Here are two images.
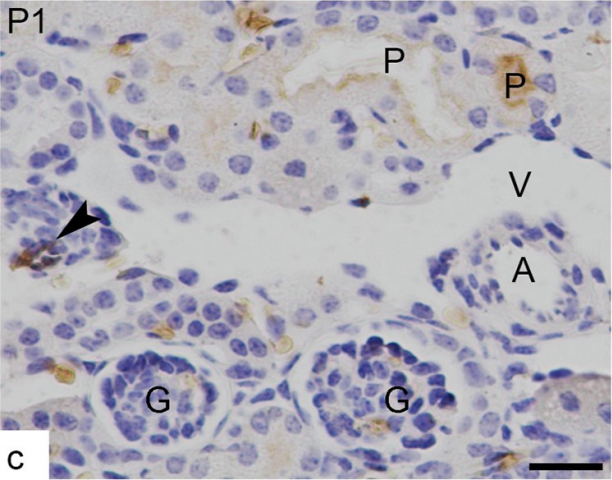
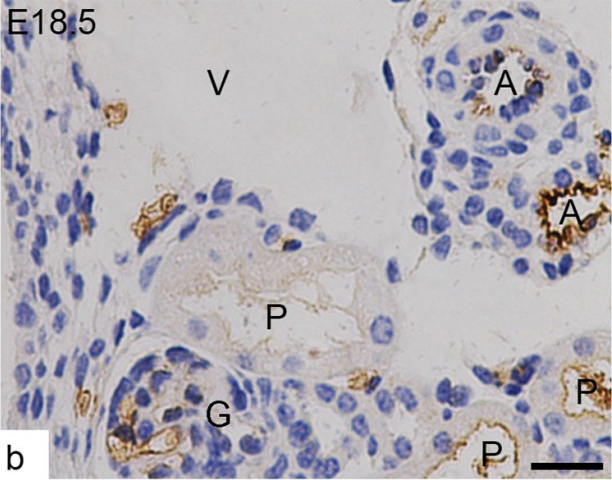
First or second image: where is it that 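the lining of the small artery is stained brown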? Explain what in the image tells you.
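First image: the small artery marked A shows a lining of bluish nuclei with no brown staining. Second image: both small arteries marked A have a dark brown rim along their inner lining. On this evidence: the second image.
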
